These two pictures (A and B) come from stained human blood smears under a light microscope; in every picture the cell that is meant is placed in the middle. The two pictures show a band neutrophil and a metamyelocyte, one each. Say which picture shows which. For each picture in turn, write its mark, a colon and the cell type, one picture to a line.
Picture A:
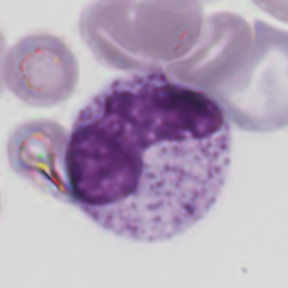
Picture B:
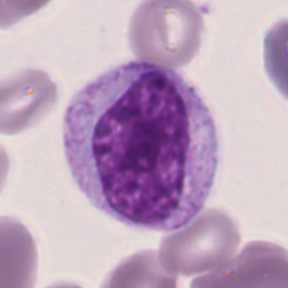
A: band neutrophil
B: metamyelocyte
